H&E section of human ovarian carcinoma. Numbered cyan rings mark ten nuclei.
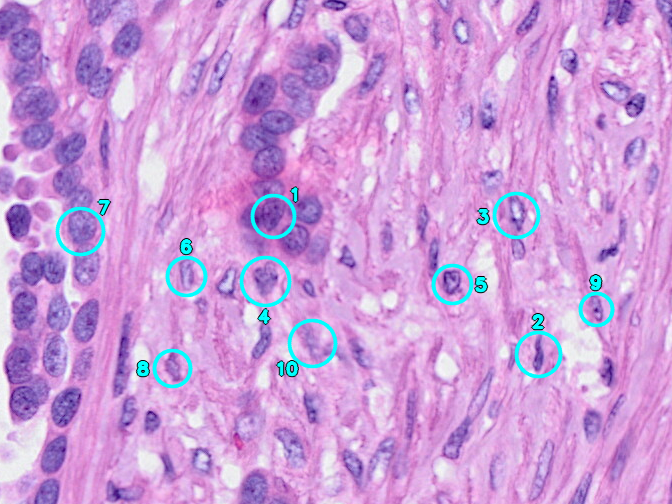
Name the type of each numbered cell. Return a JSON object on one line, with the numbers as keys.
{"1": "carcinoma cell", "2": "fibroblast", "3": "fibroblast", "4": "macrophage or monocyte", "5": "macrophage or monocyte", "6": "fibroblast", "7": "carcinoma cell", "8": "fibroblast", "9": "fibroblast", "10": "fibroblast"}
